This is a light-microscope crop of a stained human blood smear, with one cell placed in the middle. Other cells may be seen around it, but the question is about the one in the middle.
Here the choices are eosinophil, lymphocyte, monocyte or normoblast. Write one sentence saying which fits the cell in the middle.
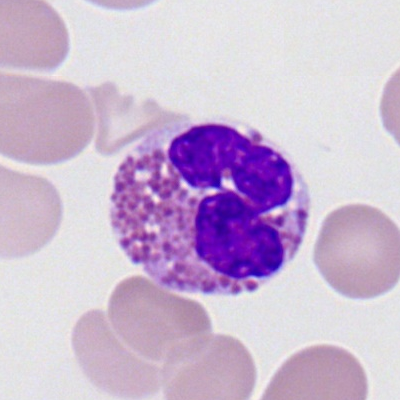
The cell of interest, in the center, is an eosinophil.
